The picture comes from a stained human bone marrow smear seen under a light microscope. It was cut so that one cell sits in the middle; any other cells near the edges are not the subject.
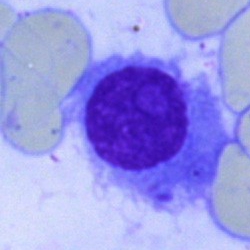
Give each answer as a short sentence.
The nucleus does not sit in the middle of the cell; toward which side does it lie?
The nucleus lies toward the upper left of the cell.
